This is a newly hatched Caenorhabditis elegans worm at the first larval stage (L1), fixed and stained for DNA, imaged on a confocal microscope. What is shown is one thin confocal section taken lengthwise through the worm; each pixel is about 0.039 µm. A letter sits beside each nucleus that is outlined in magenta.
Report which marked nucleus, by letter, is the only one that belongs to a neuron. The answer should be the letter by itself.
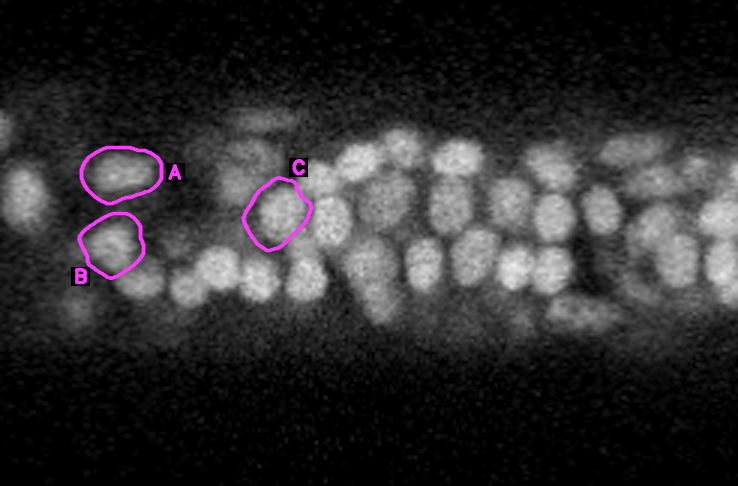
C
